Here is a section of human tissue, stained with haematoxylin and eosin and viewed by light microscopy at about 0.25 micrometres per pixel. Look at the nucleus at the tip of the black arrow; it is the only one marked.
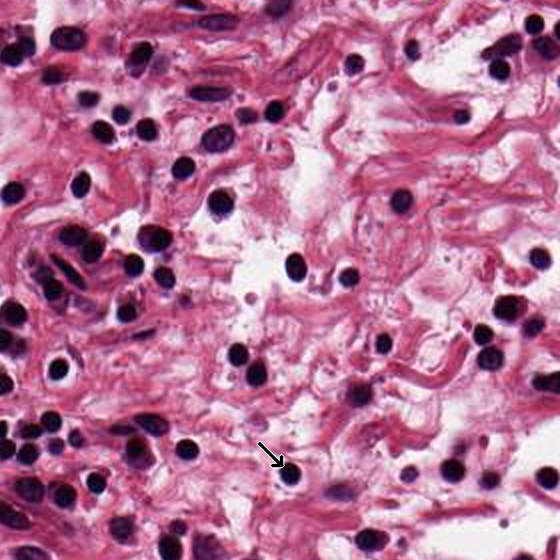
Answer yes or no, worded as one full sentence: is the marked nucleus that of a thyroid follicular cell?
No, it is not a thyroid follicular cell but a supporting cell to which the marked nucleus is assigned.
